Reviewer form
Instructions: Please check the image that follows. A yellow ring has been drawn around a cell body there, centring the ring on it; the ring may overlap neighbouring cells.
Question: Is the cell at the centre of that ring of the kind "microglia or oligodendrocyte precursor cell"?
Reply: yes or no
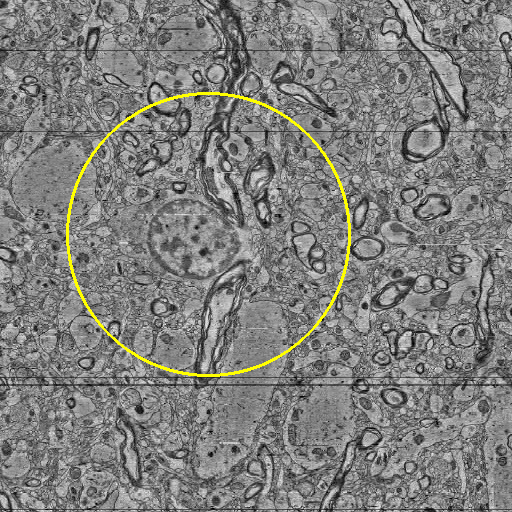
no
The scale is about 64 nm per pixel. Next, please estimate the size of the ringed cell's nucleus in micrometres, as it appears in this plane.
In this plane the nucleus is about 5 micrometres across.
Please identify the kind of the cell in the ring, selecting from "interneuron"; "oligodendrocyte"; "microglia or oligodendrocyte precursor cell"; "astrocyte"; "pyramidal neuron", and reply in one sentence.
Instead, the ring surrounds an oligodendrocyte in this picture.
